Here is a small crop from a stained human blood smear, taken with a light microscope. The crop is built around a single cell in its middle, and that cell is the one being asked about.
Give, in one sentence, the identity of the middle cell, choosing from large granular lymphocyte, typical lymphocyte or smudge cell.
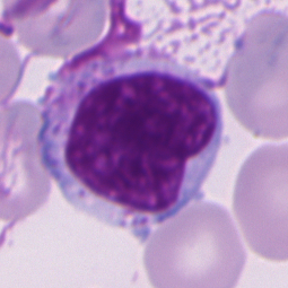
The cell sitting right in the middle is a large granular lymphocyte.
